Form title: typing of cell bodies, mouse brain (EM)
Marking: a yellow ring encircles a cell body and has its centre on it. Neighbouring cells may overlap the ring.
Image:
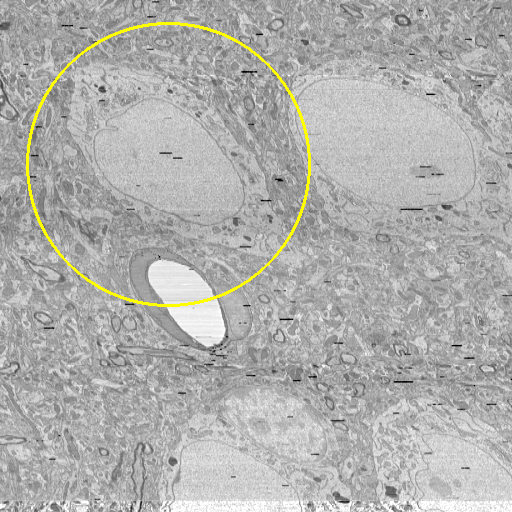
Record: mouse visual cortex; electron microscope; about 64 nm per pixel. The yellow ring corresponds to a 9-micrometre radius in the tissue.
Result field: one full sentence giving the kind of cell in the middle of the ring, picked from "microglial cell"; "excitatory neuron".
In the picture, the ring is centred on an excitatory neuron, whose cell body it encircles.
